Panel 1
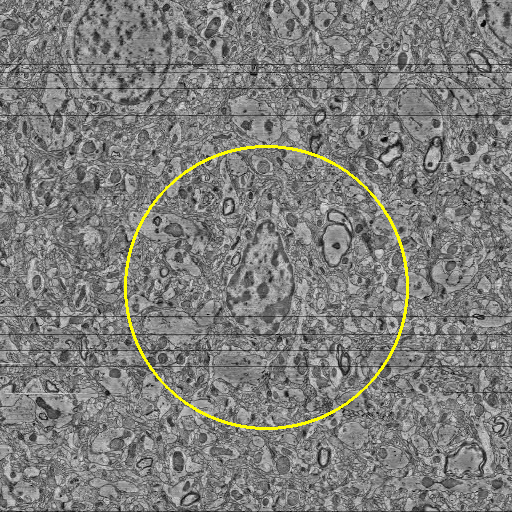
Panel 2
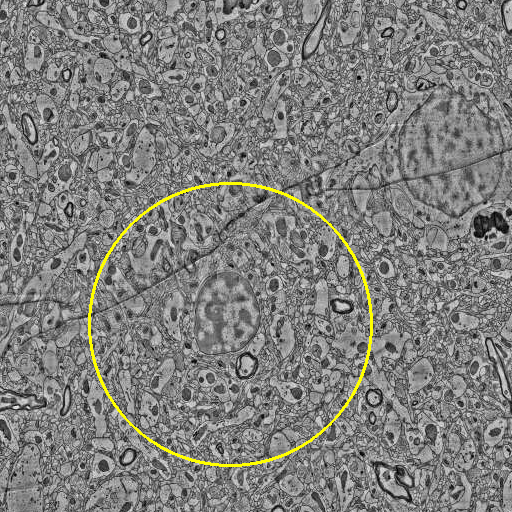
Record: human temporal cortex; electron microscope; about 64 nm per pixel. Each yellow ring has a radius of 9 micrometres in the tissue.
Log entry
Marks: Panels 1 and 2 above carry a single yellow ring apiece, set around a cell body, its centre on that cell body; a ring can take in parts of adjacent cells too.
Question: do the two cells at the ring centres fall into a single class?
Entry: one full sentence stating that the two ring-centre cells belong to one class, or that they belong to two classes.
The two ring-centre cells in Panels 1 and 2 belong to one class.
